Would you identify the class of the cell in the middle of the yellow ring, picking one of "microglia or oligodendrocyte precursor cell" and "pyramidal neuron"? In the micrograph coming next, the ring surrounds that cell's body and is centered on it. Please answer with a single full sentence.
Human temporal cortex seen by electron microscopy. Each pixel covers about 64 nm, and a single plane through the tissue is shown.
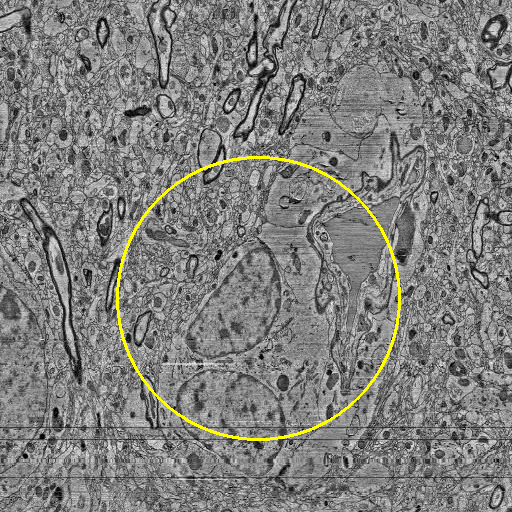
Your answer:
In the micrograph, it is a microglial cell or oligodendrocyte precursor cell whose body lies at the ring's center.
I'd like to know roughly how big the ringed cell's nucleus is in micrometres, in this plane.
The nucleus measures about 8 by 4 micrometres, so it is clearly longer than it is wide in this plane.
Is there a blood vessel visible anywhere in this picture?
Yes, a blood vessel can be seen.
